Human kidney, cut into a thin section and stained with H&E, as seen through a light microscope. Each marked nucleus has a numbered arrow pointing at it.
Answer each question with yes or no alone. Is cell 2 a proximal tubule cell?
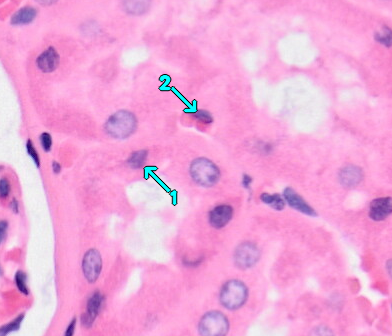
no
